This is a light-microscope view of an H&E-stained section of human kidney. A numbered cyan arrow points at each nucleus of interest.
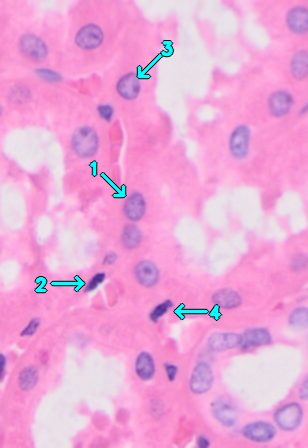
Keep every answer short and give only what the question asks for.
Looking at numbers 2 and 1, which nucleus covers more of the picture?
1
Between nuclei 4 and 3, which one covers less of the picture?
4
